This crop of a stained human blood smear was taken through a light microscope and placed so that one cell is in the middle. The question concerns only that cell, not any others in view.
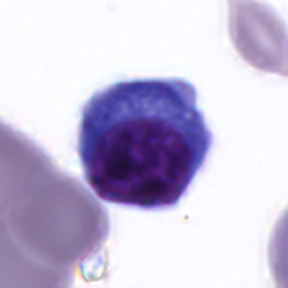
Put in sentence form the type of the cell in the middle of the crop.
To answer, the cell in the center of the crop is a plasma cell.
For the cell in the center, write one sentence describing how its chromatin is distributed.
If you check the nucleus, you will find the chromatin coarsely clumped.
